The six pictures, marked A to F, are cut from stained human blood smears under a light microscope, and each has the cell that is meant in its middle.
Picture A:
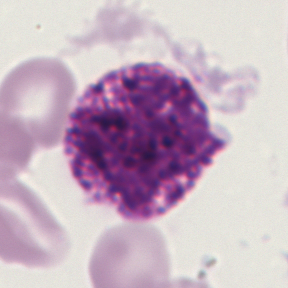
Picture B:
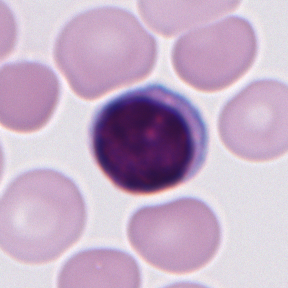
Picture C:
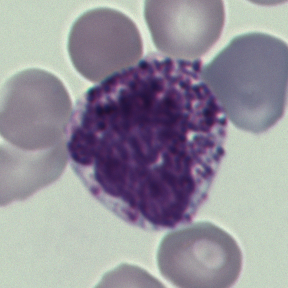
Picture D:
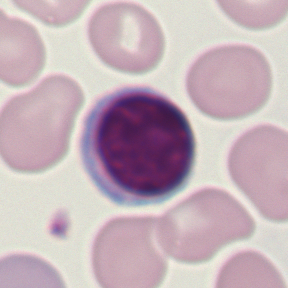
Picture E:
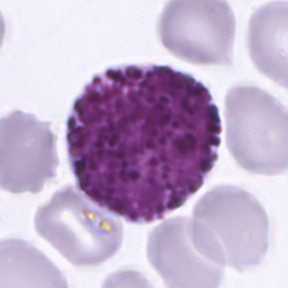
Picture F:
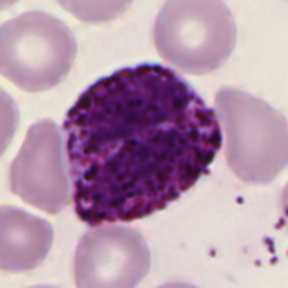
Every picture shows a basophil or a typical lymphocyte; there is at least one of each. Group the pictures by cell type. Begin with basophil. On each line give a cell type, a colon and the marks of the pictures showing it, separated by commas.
basophil: A, C, E, F
typical lymphocyte: B, D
